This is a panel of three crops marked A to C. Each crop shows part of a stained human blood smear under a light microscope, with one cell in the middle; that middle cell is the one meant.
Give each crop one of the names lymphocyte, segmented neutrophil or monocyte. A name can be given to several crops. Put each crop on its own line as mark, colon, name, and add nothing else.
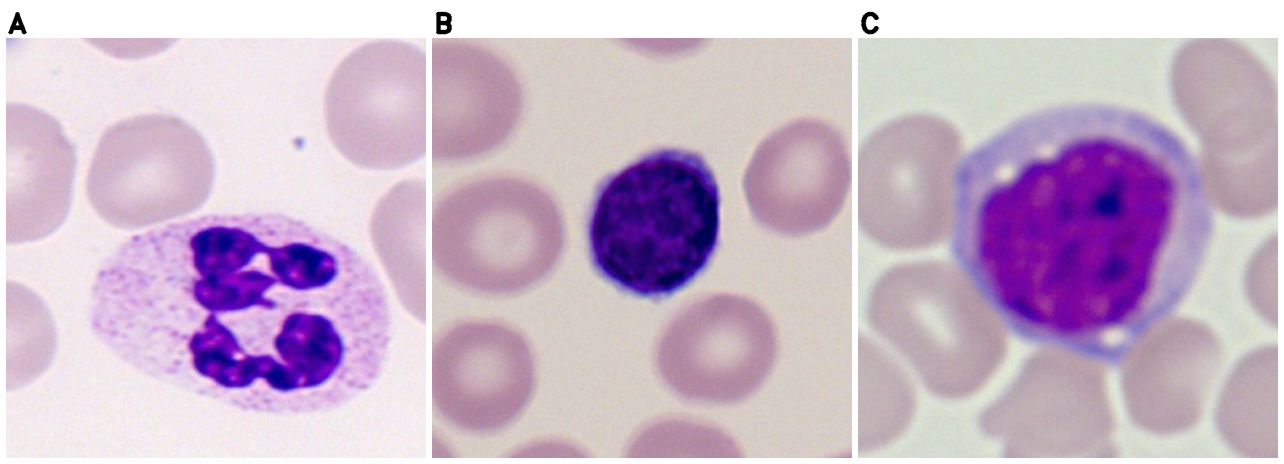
A: segmented neutrophil
B: lymphocyte
C: monocyte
